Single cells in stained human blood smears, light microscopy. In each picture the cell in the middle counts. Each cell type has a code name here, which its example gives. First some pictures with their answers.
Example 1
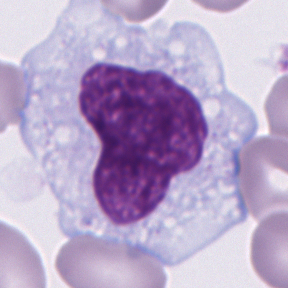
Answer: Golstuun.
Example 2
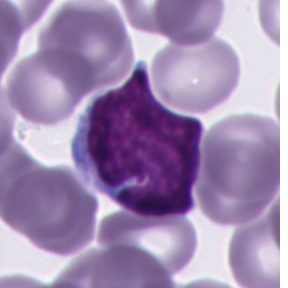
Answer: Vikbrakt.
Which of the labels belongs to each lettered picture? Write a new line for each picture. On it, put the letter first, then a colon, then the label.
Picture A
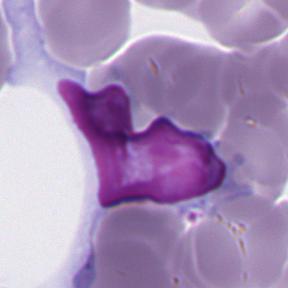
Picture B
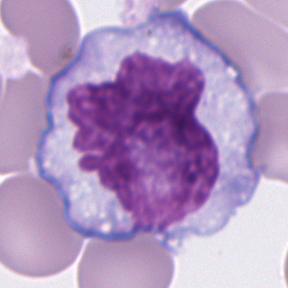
A: Vikbrakt.
B: Golstuun.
